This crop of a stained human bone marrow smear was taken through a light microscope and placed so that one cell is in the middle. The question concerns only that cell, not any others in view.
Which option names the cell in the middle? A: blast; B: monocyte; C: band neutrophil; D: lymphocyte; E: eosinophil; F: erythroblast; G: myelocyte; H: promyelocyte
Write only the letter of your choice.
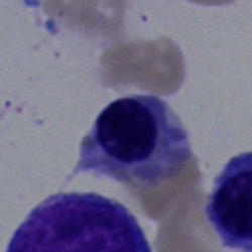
F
